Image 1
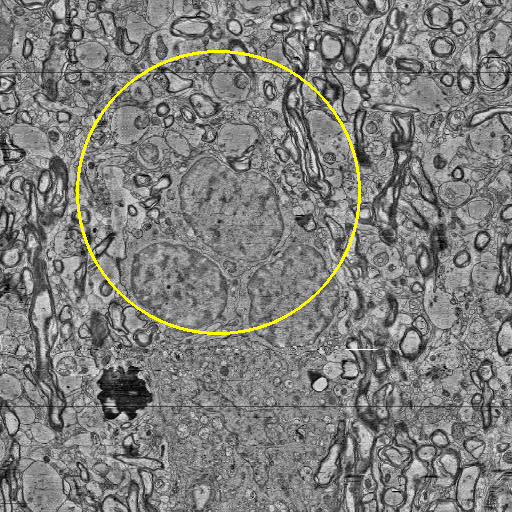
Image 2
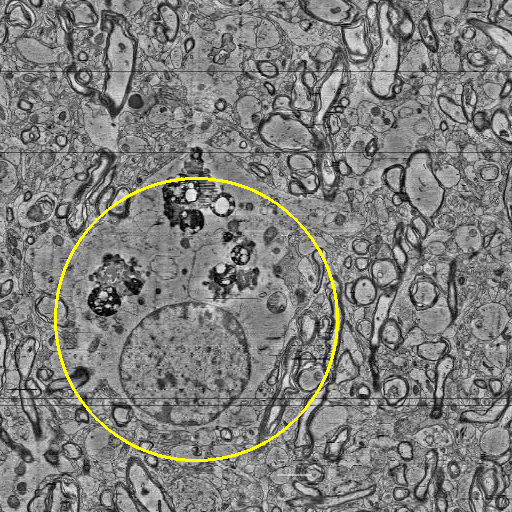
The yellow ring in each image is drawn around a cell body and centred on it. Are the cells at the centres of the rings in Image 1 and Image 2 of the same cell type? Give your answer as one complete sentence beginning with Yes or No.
No, the two cells are of two separate types.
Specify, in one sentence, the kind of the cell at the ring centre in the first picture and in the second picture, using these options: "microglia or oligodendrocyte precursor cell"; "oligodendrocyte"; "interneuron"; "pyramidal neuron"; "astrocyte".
So the first is an oligodendrocyte, the second an astrocyte.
